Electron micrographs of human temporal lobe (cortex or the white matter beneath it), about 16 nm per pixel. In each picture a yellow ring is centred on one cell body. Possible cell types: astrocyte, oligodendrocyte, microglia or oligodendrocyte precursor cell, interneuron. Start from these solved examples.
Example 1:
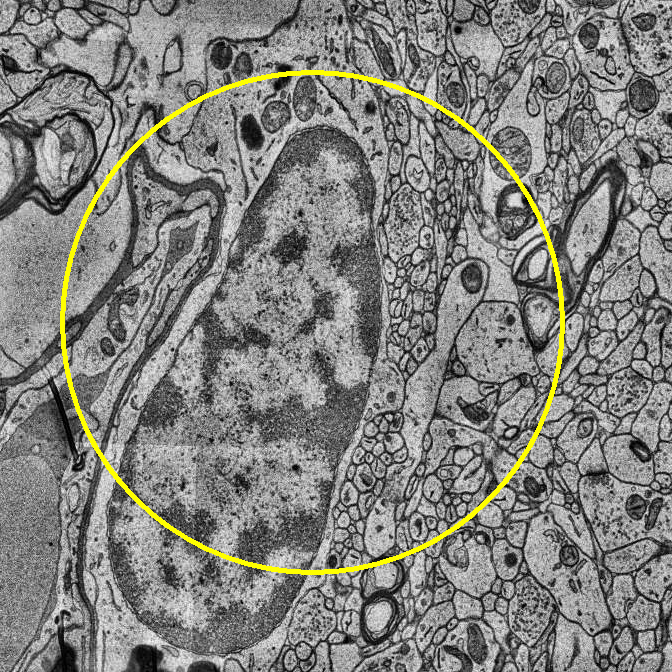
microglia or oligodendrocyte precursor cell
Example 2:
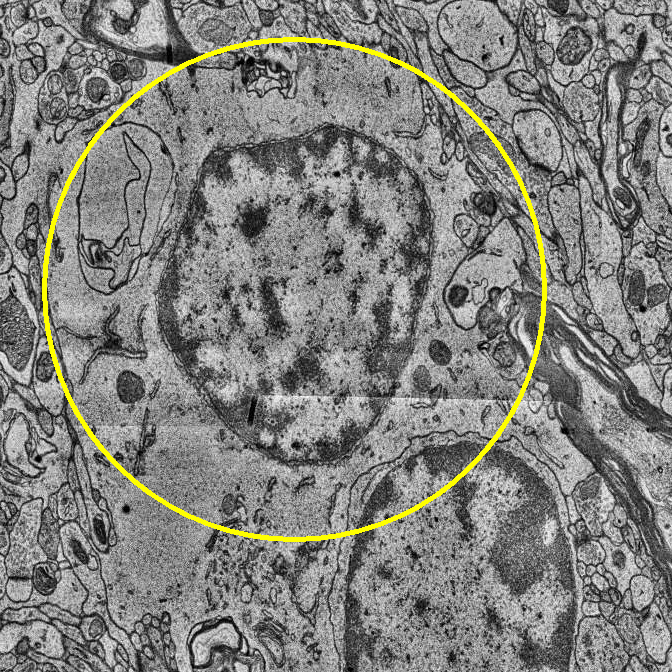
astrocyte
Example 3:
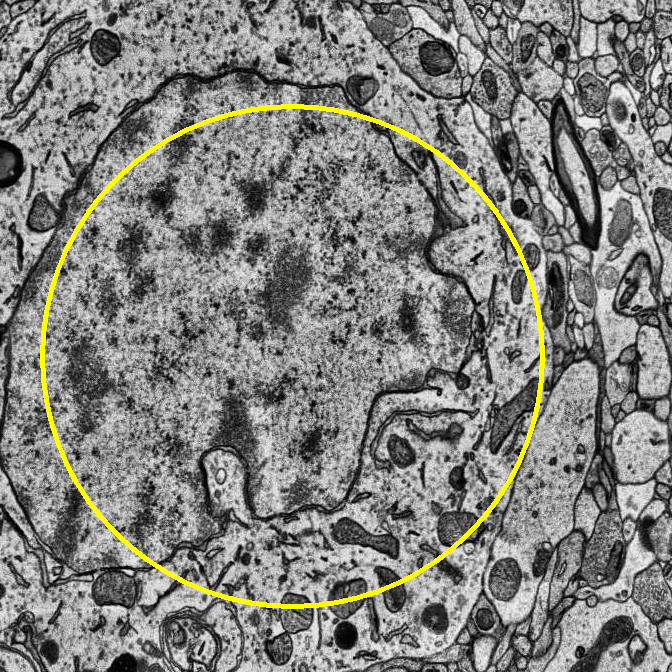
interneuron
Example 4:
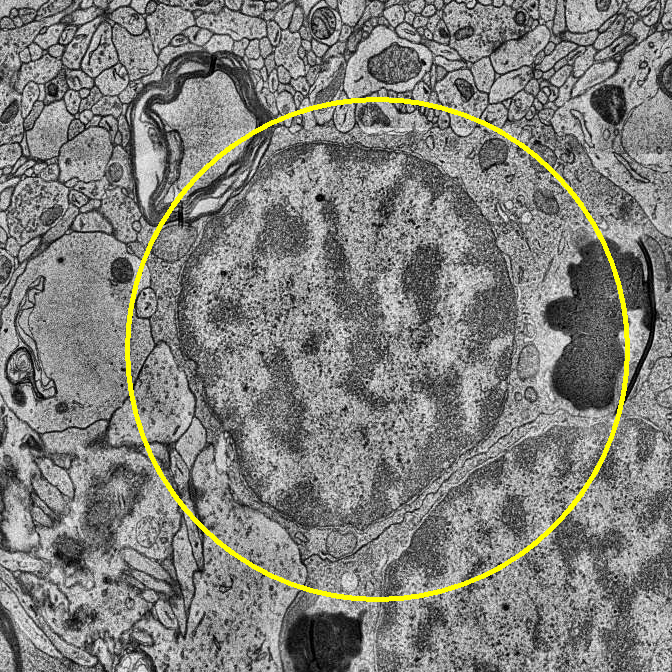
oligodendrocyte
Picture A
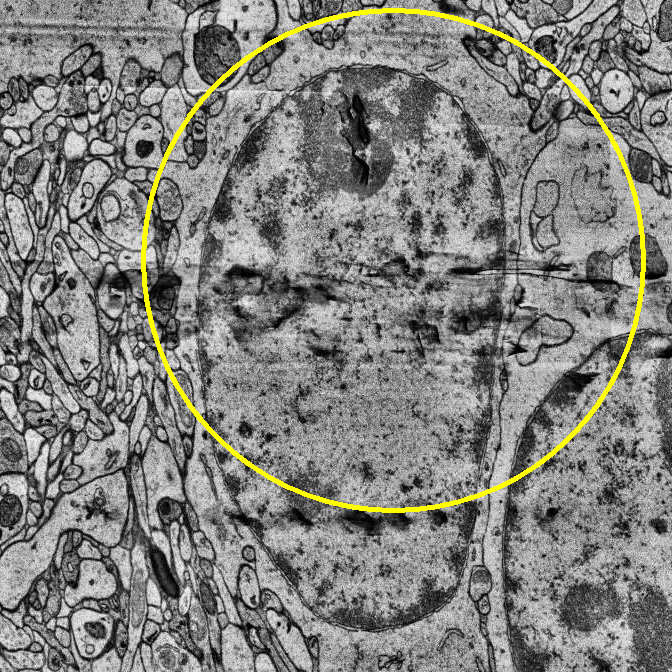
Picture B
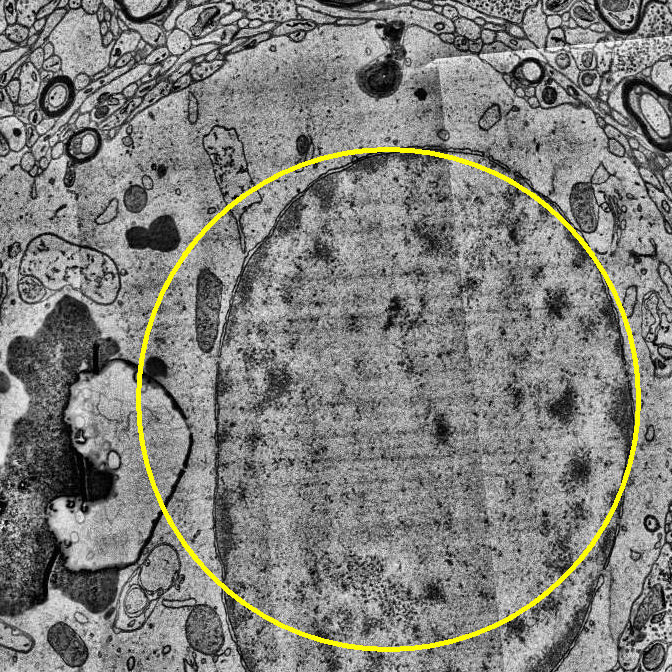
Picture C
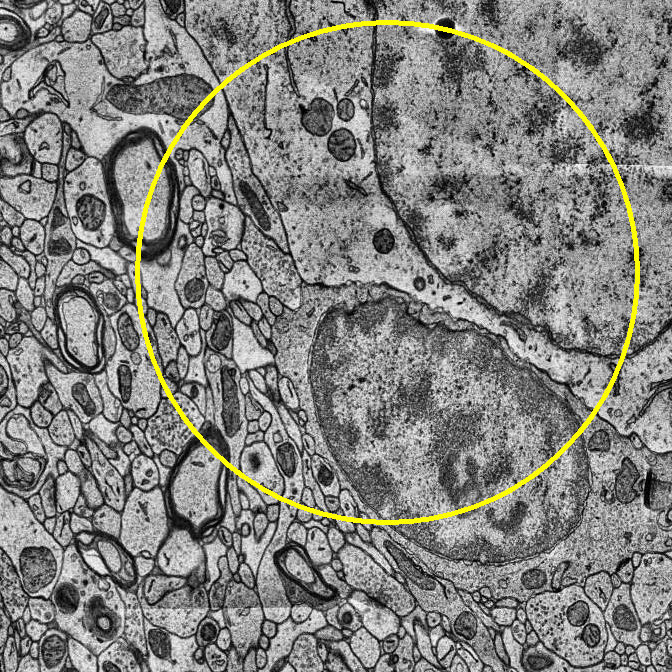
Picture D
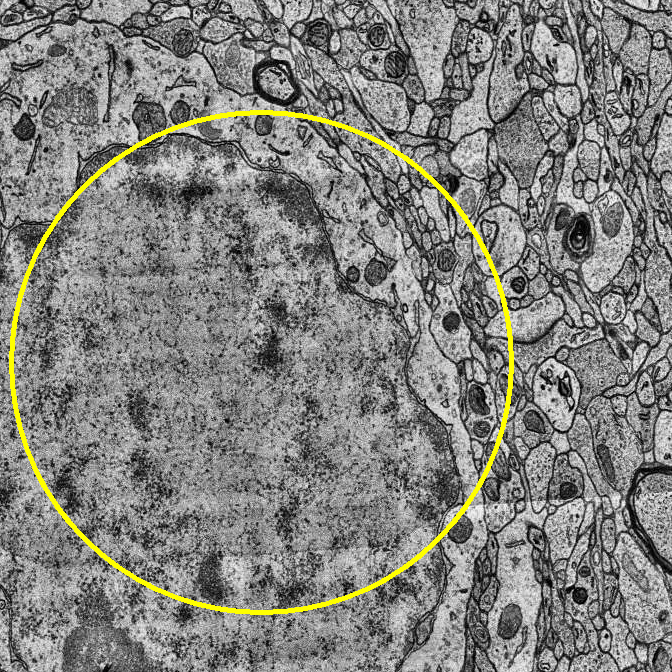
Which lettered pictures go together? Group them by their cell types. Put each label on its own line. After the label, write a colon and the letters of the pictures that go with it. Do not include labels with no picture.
astrocyte: A, B
oligodendrocyte: C
interneuron: D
